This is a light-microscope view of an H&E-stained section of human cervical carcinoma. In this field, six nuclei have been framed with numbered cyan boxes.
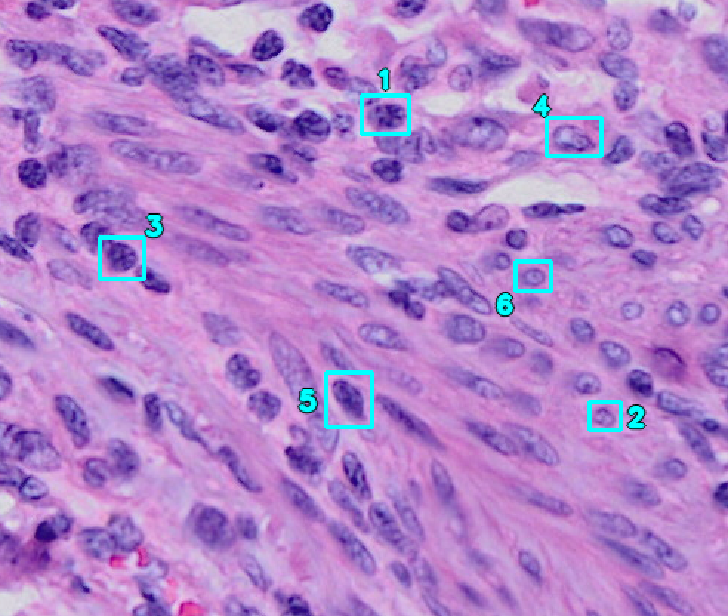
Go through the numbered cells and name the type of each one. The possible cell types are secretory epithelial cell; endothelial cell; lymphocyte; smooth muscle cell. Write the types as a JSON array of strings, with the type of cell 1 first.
["lymphocyte", "smooth muscle cell", "lymphocyte", "endothelial cell", "lymphocyte", "smooth muscle cell"]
